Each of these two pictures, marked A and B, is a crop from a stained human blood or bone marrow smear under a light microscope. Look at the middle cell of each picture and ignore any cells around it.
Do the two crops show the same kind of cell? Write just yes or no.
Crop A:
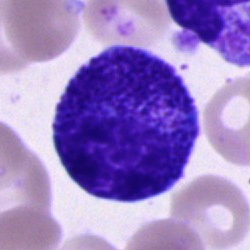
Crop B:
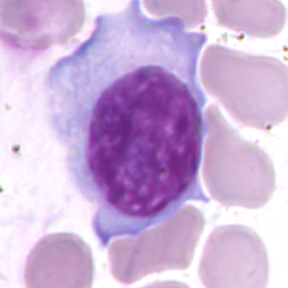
no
